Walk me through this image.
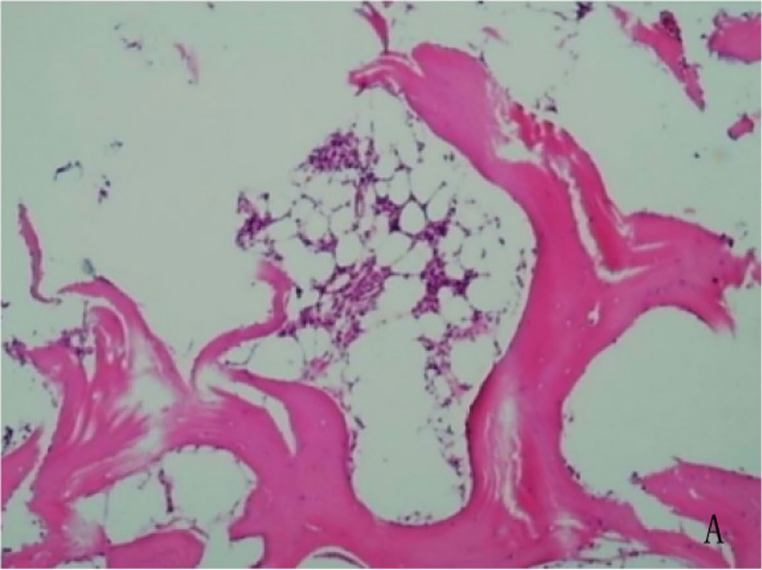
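At low power, this bone marrow biopsy shows thick, branching, bright pink bony trabeculae that enclose the marrow spaces. Much of the intertrabecular space appears pale and empty, or is occupied by round fat-cell spaces. In the centre, an island of marrow lies between fat spaces. Its small cells have purple nuclei and form a delicate network around the fat spaces. The cells are too small at this magnification for individual kinds to be picked out with confidence.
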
